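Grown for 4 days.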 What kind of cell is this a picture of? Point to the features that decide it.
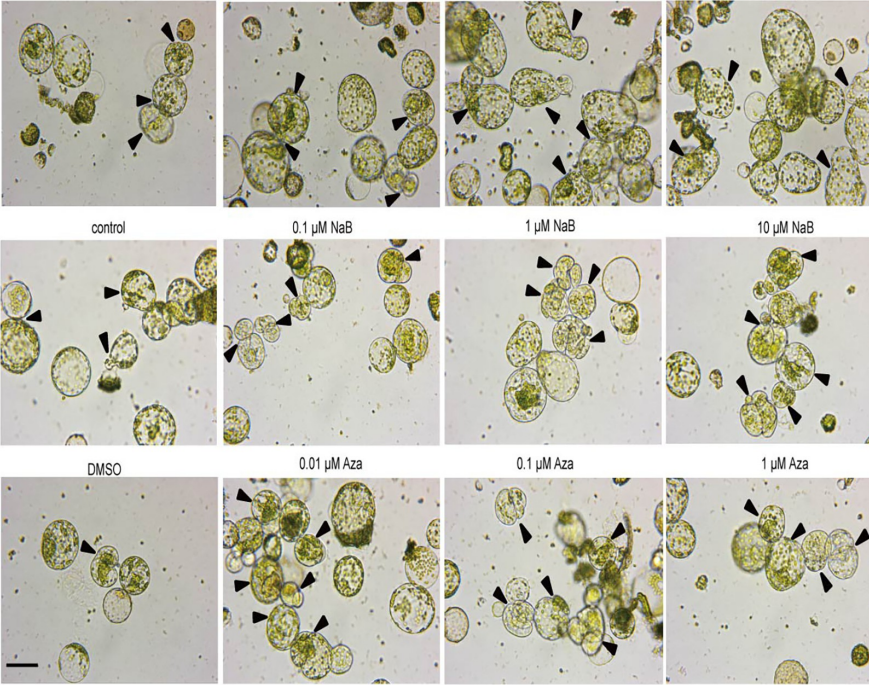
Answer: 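Mesophyll protoplasts. Cells are round to oval and lie free, without a rigid angular outline. The cytoplasm is packed with many small green granules, like chloroplasts.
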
